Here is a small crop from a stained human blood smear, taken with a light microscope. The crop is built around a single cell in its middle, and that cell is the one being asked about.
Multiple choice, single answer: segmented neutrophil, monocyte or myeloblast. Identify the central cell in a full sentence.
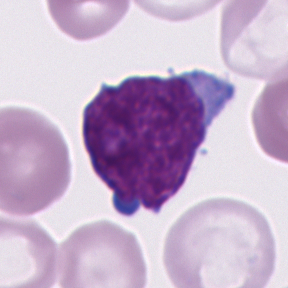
Centred in the crop is a myeloblast.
